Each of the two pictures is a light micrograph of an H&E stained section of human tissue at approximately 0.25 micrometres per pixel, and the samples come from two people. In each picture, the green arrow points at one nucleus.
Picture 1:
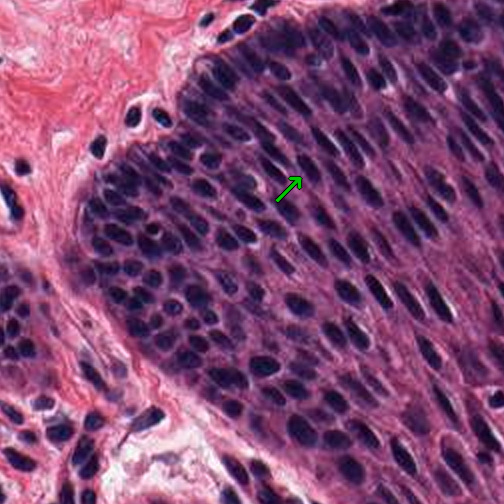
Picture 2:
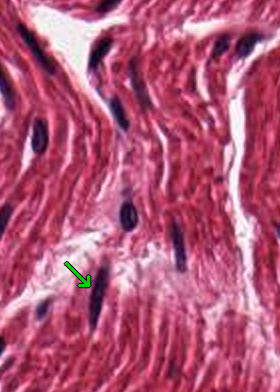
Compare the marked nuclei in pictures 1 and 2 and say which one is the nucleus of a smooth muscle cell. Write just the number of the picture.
2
